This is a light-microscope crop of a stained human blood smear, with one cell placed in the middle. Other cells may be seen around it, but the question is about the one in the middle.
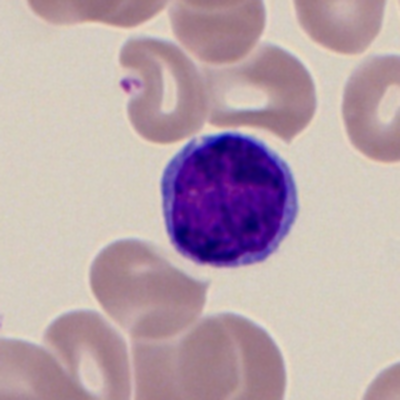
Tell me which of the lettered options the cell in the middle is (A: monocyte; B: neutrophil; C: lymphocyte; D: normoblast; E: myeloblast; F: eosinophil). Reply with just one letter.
C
